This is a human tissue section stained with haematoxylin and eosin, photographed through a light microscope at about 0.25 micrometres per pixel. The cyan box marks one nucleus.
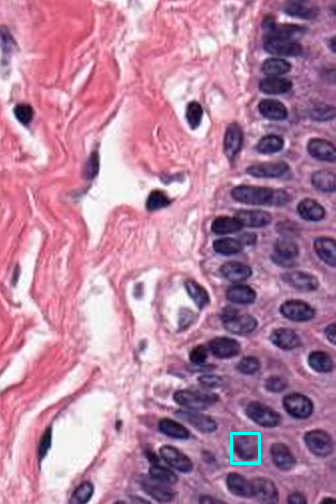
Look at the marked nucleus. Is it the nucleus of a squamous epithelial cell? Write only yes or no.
yes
